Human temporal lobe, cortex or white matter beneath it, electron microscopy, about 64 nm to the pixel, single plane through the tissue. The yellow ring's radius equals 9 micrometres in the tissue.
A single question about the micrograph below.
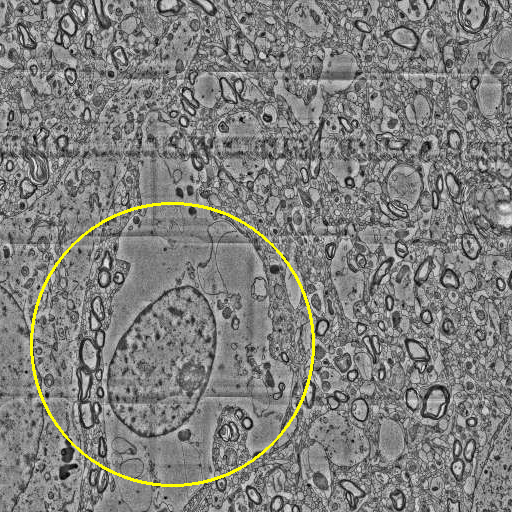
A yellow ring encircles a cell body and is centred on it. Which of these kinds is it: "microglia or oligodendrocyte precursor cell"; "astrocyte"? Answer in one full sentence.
The cell body at the centre of the yellow ring belongs to an astrocyte.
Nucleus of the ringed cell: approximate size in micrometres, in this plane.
About 10 by 6 micrometres, the nucleus being clearly longer than it is wide in this plane.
